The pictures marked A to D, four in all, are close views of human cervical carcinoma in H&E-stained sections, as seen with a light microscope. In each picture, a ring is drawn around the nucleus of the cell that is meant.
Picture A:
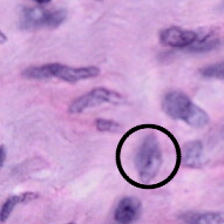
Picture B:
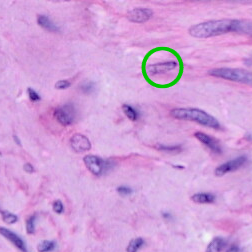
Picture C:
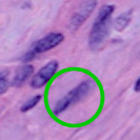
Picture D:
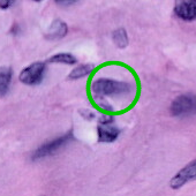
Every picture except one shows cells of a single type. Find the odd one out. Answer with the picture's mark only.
B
